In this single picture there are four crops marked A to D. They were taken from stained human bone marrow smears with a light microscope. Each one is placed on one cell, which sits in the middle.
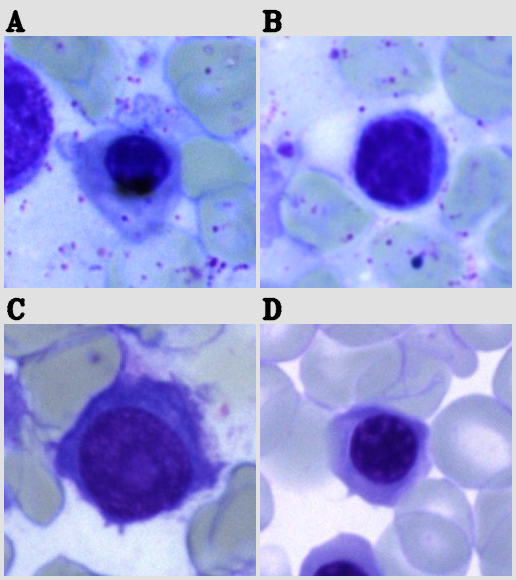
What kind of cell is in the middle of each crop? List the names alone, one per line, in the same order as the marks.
erythroblast
lymphocyte
plasma cell
erythroblast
